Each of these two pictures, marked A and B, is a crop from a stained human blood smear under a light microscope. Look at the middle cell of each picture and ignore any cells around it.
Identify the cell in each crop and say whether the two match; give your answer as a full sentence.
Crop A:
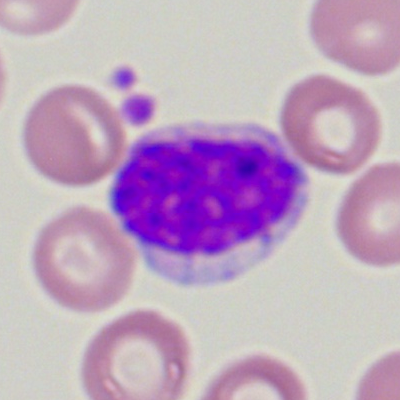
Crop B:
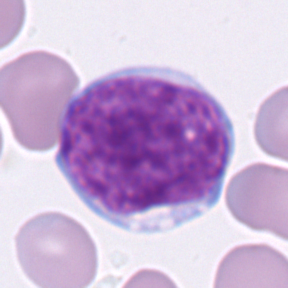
No, the cell of interest in crop A is a lymphocyte, and in crop B it is a blast.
